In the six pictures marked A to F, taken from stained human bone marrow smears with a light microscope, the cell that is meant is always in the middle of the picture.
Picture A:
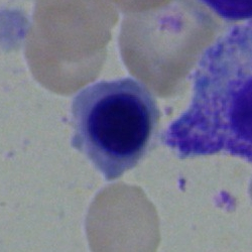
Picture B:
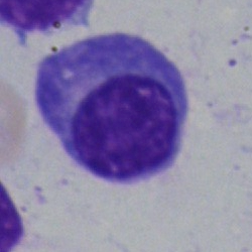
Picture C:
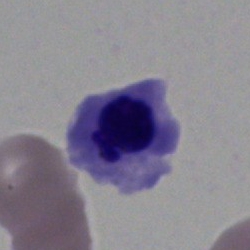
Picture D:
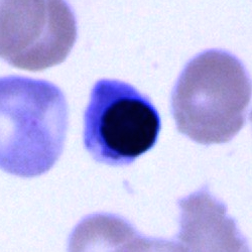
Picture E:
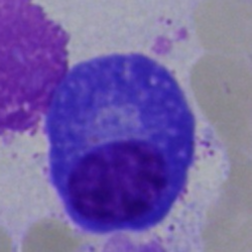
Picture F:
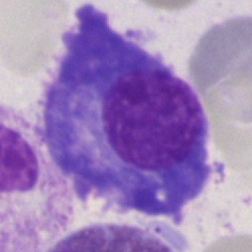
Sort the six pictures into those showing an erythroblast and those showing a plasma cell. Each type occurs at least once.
A: erythroblast
B: plasma cell
C: erythroblast
D: erythroblast
E: plasma cell
F: plasma cell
